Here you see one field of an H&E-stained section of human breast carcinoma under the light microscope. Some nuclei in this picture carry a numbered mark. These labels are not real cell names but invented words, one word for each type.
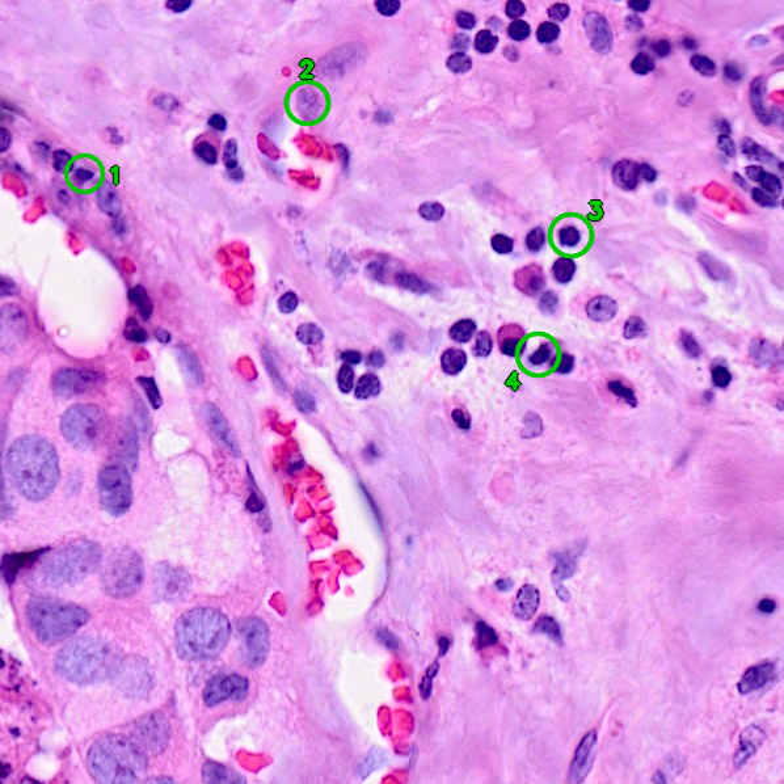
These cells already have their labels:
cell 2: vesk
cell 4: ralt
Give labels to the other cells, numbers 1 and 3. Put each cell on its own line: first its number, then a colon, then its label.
1: ralt
3: ralt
